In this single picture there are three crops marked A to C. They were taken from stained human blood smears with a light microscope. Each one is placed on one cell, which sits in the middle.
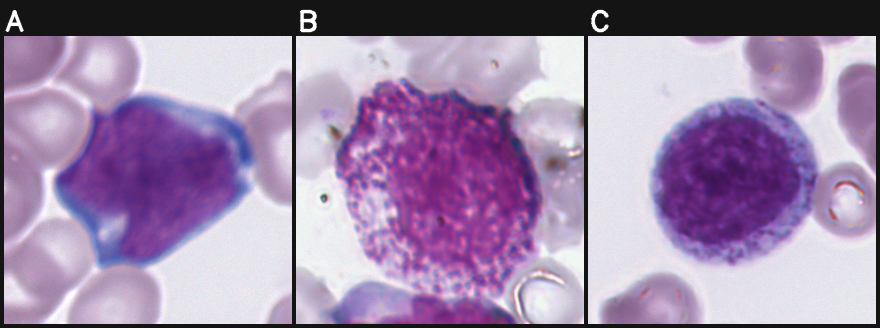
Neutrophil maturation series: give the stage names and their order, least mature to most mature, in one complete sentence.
Proceeding from least to most mature, the order is crop A (a myeloblast), crop B (a promyelocyte) and crop C (a myelocyte).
